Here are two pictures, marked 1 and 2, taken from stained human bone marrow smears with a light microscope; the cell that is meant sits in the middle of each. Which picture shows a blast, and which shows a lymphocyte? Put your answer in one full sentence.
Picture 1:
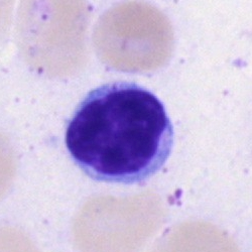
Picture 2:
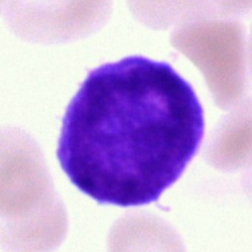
In picture 1 the cell is a lymphocyte; in picture 2, a blast.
